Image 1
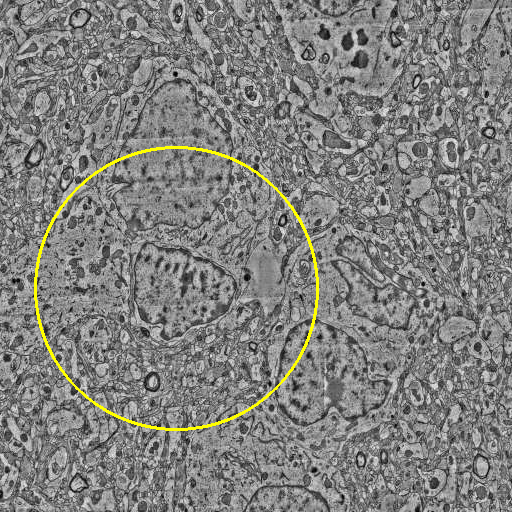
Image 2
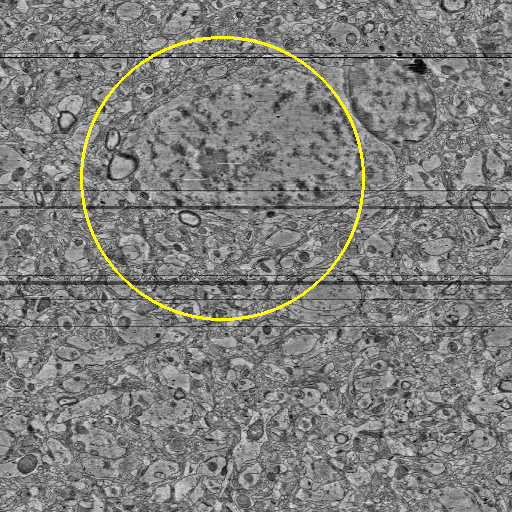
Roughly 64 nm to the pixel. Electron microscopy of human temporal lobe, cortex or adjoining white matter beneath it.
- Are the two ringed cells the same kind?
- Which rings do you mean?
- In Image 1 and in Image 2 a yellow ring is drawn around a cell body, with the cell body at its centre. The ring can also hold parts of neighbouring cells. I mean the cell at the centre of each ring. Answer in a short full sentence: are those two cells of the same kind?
No, the cells are of two kinds.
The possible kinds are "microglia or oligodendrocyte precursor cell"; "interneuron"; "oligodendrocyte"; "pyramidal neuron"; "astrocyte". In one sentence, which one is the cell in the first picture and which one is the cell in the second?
The cell ringed in the second picture is an interneuron, whereas the one ringed in the first is a microglial cell or oligodendrocyte precursor cell.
